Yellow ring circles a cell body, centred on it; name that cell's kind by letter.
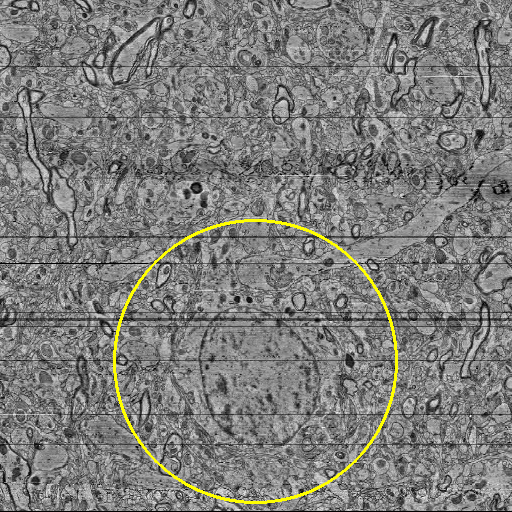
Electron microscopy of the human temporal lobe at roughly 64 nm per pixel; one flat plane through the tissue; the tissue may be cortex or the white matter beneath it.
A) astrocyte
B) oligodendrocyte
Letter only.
A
